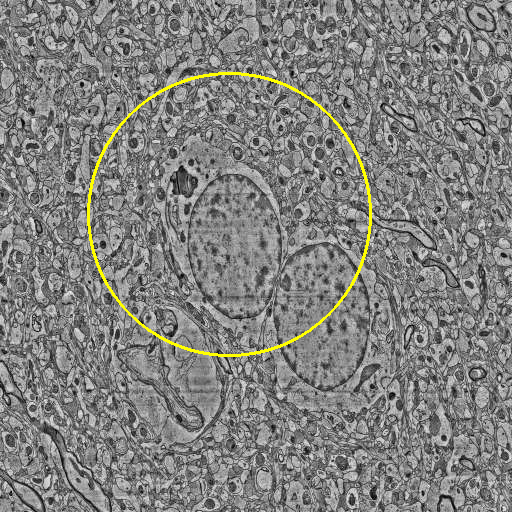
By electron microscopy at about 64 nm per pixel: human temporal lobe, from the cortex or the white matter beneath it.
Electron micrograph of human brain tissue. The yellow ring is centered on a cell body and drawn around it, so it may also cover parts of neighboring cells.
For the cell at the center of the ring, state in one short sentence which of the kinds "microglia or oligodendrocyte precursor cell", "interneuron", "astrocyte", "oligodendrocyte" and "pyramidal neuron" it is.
This ring is centered on an astrocyte.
